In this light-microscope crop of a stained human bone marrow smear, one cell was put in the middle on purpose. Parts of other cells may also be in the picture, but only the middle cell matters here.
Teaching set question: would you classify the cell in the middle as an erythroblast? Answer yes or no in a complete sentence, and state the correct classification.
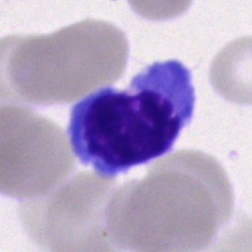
Yes, the cell located at the center is an erythroblast.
